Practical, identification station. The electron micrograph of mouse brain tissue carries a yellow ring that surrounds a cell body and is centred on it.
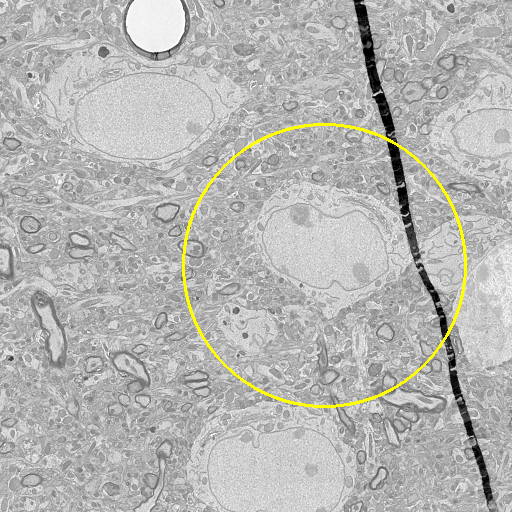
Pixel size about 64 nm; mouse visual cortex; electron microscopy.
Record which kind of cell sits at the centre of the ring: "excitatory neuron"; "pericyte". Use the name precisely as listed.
excitatory neuron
